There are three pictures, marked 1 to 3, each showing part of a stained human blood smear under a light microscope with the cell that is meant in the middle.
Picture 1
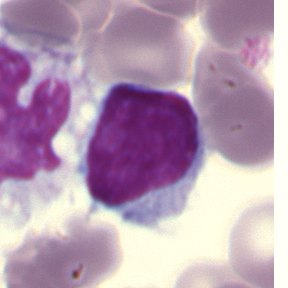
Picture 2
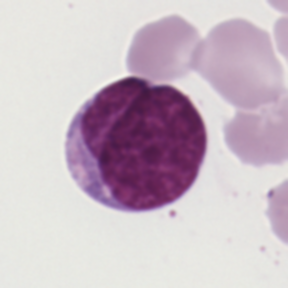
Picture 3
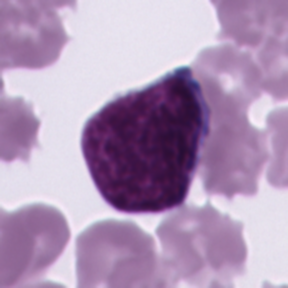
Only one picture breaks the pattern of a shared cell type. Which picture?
1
